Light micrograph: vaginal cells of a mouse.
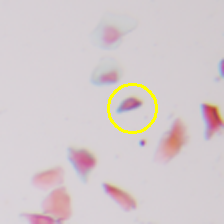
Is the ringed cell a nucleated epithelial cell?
No, it is a cornified epithelial cell.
